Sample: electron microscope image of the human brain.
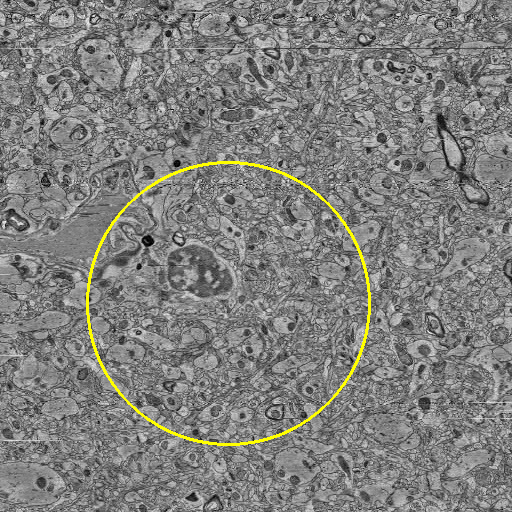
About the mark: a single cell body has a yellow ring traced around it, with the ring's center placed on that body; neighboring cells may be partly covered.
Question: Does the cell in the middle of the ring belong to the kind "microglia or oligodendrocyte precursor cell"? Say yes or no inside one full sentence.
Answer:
Yes, the cell at the ring's center in this image belongs to that kind.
